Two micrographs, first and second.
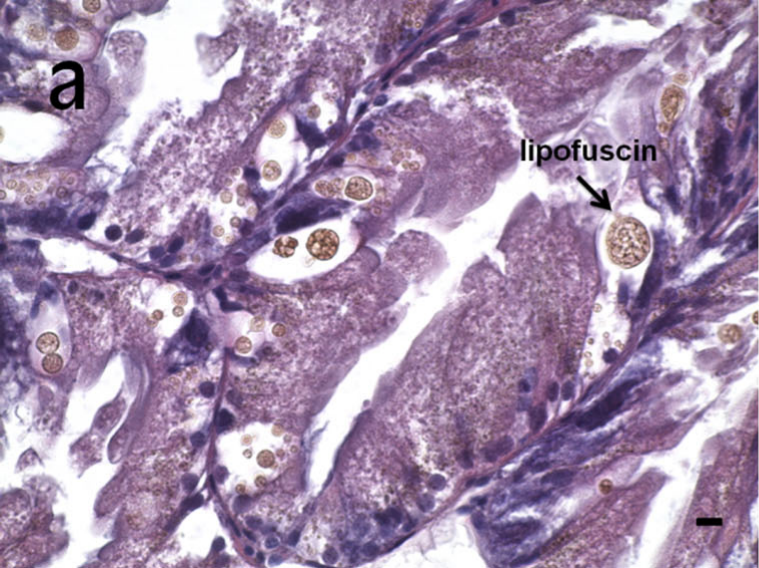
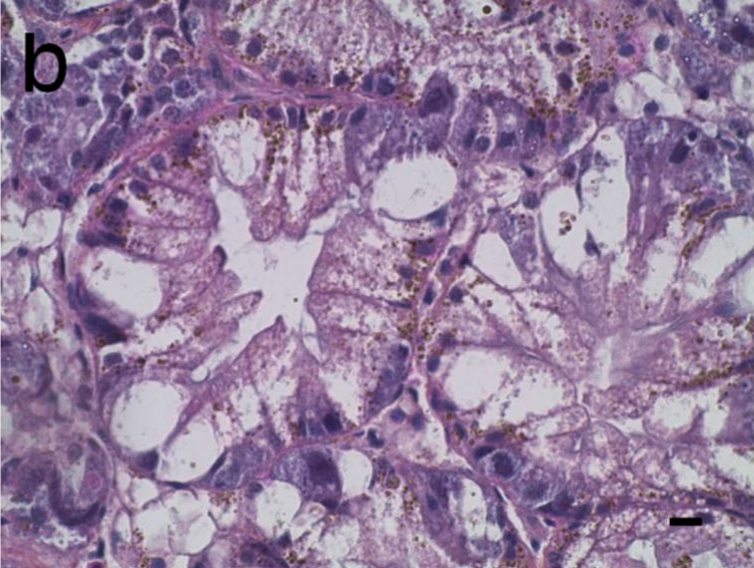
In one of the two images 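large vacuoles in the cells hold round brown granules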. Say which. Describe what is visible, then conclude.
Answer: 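The first image. Second image: the large clear vacuoles are empty of round brown bodies. First image: many clear vacuoles each contain one or more round yellow-brown granules.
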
